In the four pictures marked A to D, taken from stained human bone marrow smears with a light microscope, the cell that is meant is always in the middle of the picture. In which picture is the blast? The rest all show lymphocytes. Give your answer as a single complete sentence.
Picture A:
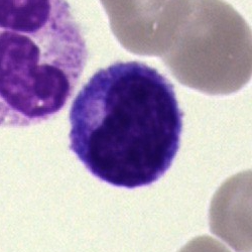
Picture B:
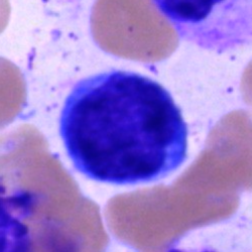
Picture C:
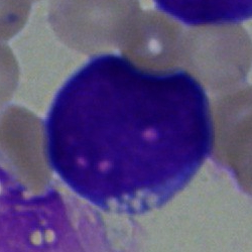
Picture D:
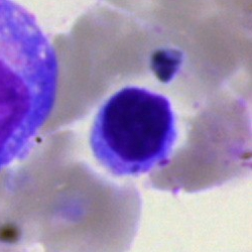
Picture C shows the blast.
